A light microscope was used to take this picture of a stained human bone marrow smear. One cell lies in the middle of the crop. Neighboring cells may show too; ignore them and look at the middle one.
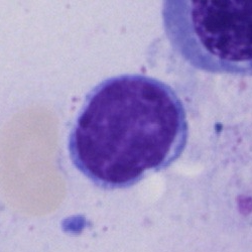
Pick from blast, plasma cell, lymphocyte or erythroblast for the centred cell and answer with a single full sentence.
The central cell in this smear crop is a lymphocyte.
